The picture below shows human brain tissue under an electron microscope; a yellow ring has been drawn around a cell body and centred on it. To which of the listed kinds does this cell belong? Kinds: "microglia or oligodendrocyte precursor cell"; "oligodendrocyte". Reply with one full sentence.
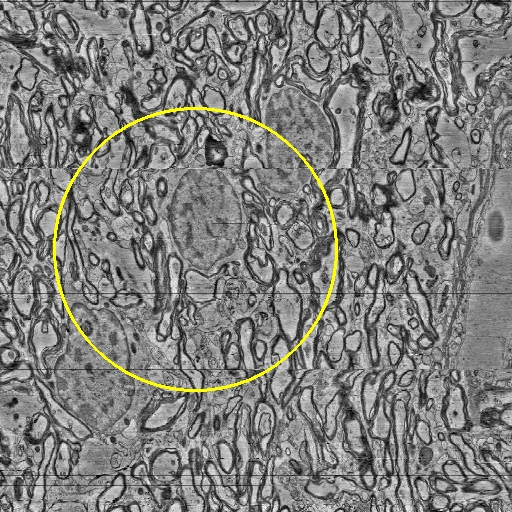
It is an oligodendrocyte that the yellow ring in the picture is centred on.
